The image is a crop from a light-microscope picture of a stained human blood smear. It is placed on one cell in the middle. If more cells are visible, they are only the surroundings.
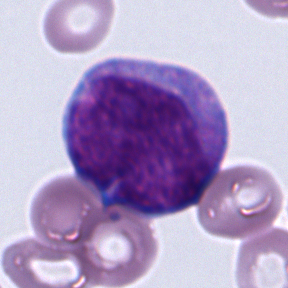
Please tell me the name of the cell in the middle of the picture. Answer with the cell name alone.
atypical promyelocyte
